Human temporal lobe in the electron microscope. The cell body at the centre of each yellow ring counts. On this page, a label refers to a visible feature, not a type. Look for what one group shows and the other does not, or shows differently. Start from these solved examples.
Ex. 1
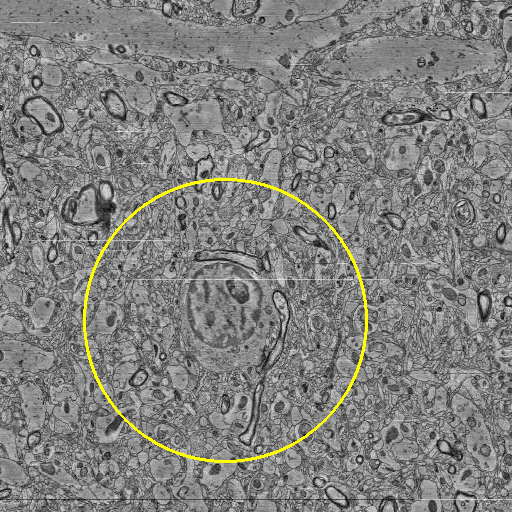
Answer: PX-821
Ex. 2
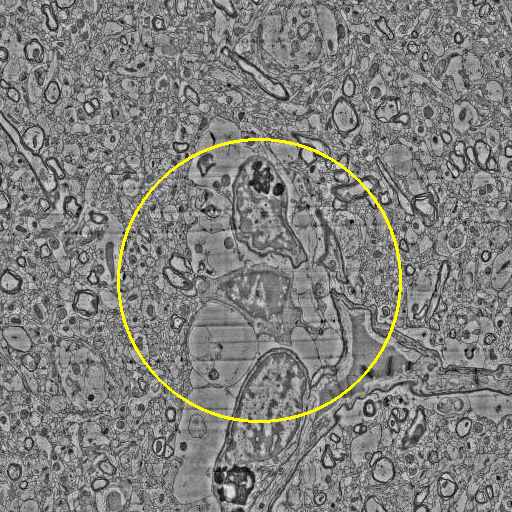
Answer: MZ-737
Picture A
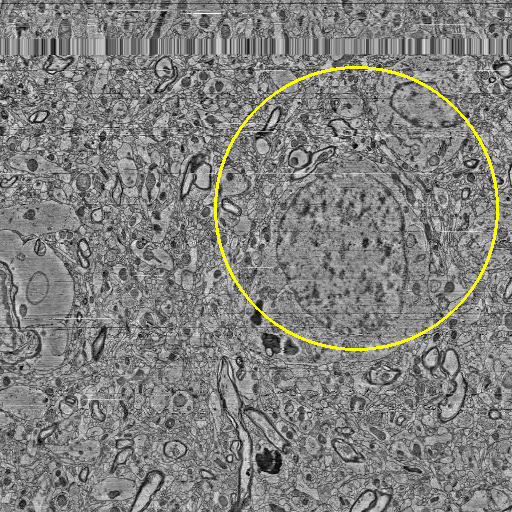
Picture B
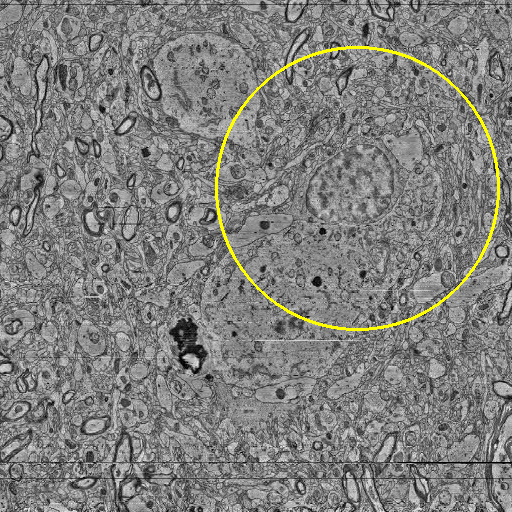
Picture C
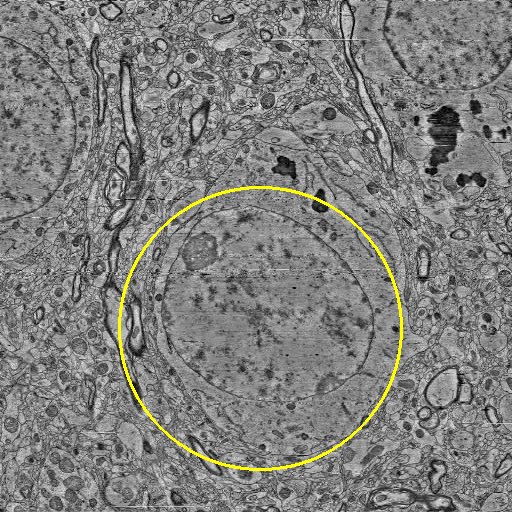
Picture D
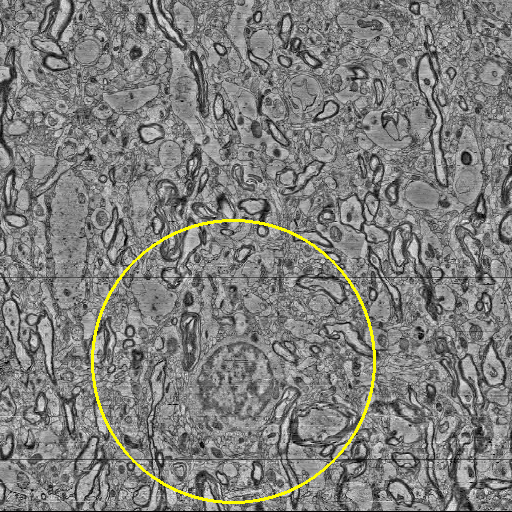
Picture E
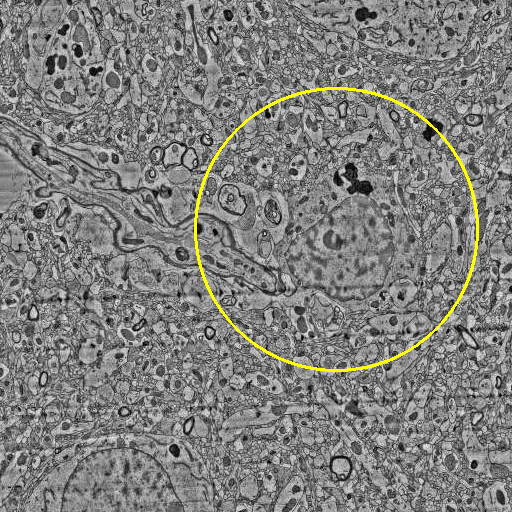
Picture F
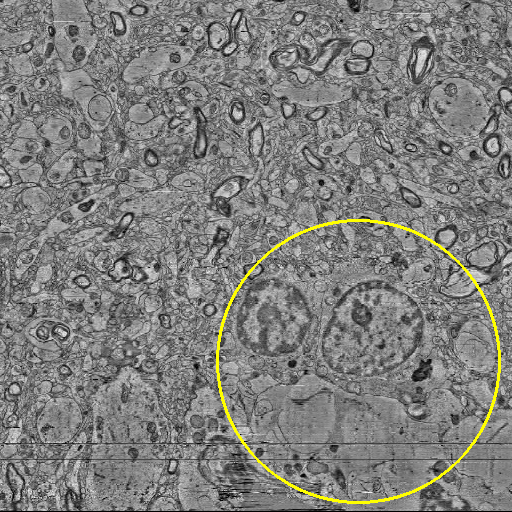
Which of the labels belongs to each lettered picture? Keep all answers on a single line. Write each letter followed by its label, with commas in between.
A MZ-737, B MZ-737, C PX-821, D MZ-737, E PX-821, F PX-821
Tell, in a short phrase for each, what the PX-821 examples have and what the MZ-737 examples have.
PX-821, nucleolus seen; MZ-737, no nucleolus seen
